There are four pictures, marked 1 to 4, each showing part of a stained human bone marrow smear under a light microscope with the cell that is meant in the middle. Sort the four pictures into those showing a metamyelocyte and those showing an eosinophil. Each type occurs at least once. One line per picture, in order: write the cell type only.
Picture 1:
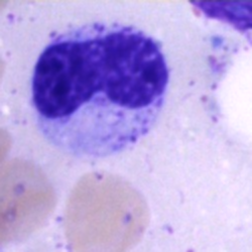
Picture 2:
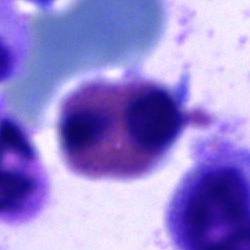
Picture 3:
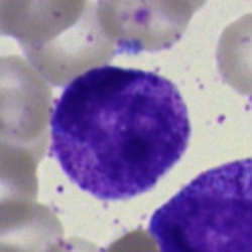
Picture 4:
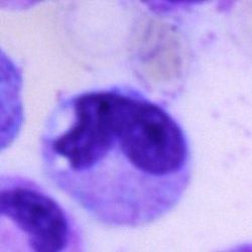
metamyelocyte
eosinophil
metamyelocyte
metamyelocyte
